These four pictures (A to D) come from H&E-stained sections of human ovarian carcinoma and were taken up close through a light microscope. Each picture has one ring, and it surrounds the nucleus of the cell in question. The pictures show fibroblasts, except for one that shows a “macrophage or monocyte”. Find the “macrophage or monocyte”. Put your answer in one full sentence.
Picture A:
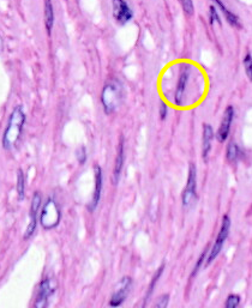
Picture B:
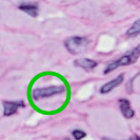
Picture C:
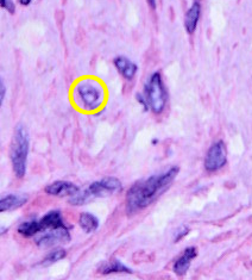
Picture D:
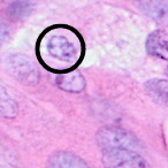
It is picture D that shows the “macrophage or monocyte”.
